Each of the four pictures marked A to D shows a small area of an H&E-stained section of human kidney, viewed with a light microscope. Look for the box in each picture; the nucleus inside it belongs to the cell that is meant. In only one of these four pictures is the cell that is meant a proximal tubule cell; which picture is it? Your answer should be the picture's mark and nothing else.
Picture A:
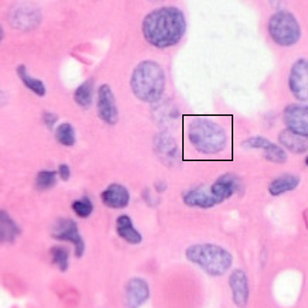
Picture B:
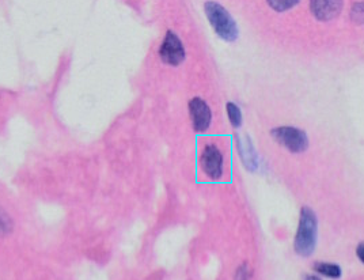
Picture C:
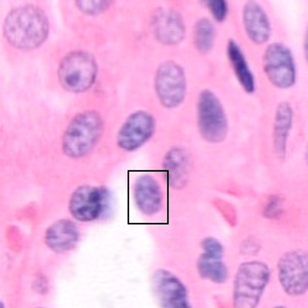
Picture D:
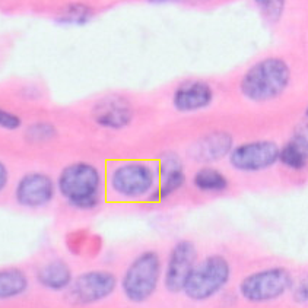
B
